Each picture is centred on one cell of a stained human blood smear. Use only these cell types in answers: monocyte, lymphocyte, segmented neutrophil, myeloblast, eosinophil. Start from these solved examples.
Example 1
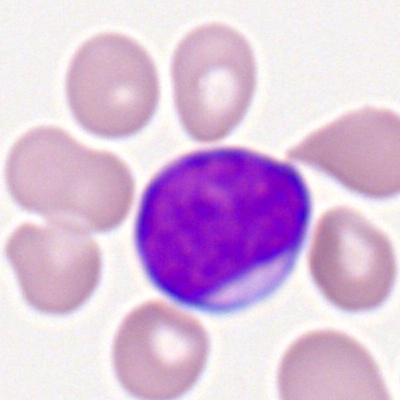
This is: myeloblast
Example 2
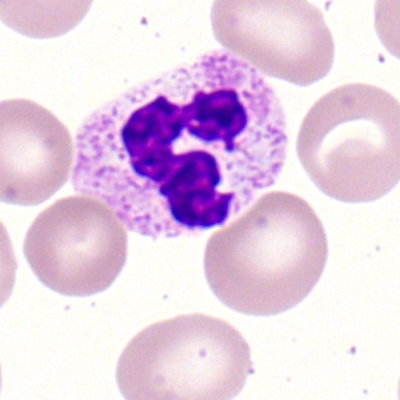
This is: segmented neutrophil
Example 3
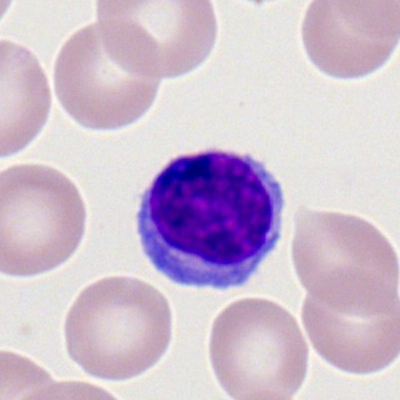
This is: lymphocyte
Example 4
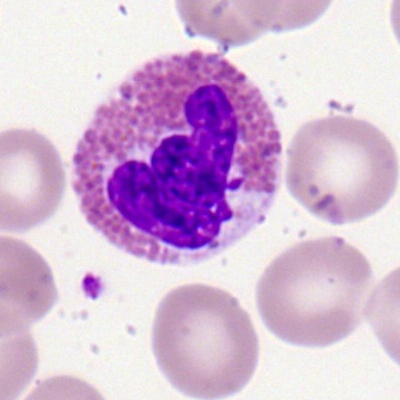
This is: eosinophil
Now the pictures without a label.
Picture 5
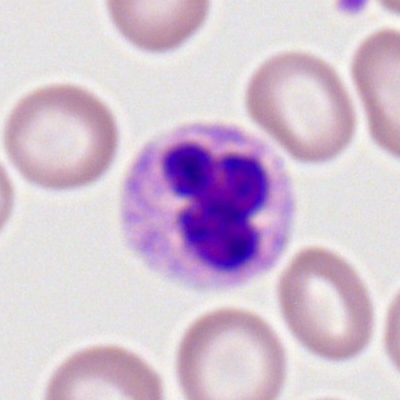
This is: segmented neutrophil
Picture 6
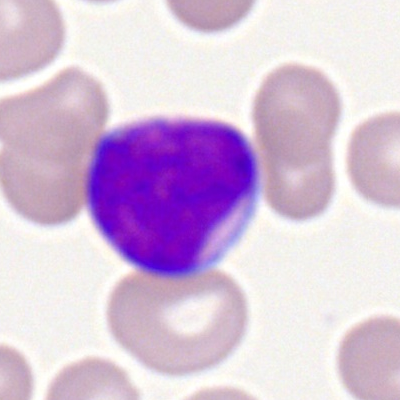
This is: myeloblast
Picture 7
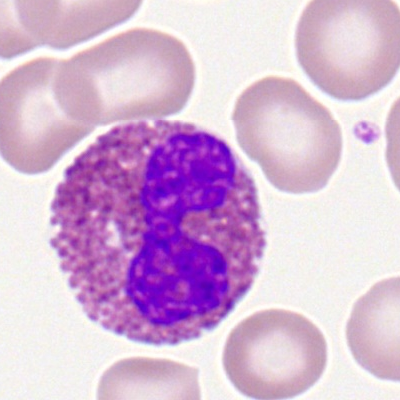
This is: eosinophil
